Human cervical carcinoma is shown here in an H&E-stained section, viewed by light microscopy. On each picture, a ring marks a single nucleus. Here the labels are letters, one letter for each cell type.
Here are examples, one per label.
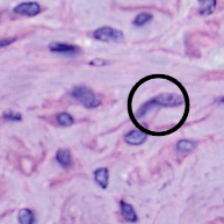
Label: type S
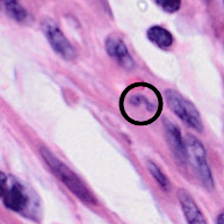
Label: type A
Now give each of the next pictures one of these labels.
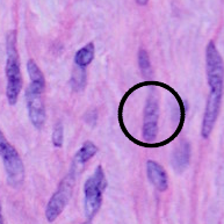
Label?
type S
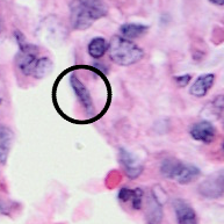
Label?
type A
